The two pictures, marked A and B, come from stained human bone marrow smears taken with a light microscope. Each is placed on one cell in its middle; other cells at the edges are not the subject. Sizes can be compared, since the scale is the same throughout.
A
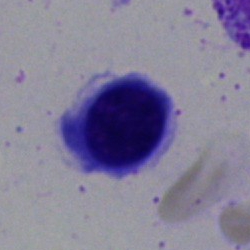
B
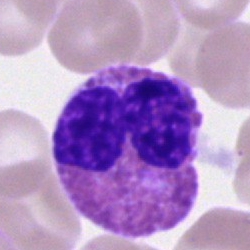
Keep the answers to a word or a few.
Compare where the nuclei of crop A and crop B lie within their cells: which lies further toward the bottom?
A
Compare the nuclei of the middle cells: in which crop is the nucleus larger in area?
B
